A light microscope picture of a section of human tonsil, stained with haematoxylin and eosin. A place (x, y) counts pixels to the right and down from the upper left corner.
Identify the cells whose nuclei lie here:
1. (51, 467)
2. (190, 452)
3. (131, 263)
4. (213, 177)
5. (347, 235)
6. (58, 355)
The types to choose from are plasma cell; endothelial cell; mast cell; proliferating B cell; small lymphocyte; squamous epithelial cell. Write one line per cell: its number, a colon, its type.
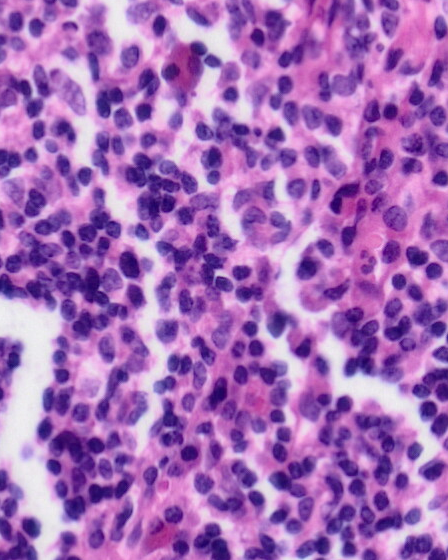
1: small lymphocyte
2: plasma cell
3: proliferating B cell
4: small lymphocyte
5: plasma cell
6: small lymphocyte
